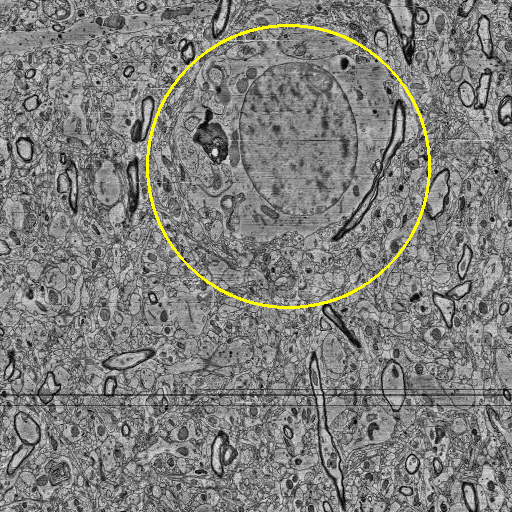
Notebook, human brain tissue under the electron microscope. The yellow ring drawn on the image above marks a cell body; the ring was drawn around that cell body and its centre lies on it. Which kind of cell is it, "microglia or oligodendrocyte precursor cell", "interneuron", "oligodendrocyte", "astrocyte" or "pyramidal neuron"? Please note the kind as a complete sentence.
The marked cell body is that of an astrocyte.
